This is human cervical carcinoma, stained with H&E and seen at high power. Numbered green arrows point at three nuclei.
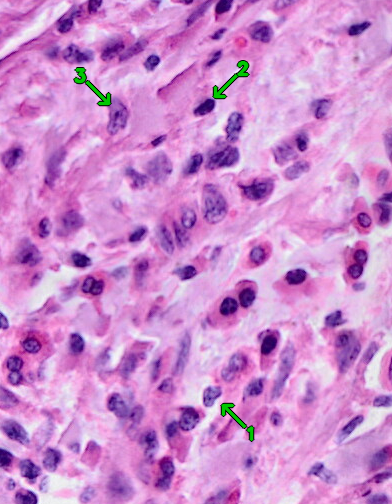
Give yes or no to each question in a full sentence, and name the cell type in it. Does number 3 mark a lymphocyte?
No, the cell denoted 3 is a macrophage or monocyte rather than a lymphocyte.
